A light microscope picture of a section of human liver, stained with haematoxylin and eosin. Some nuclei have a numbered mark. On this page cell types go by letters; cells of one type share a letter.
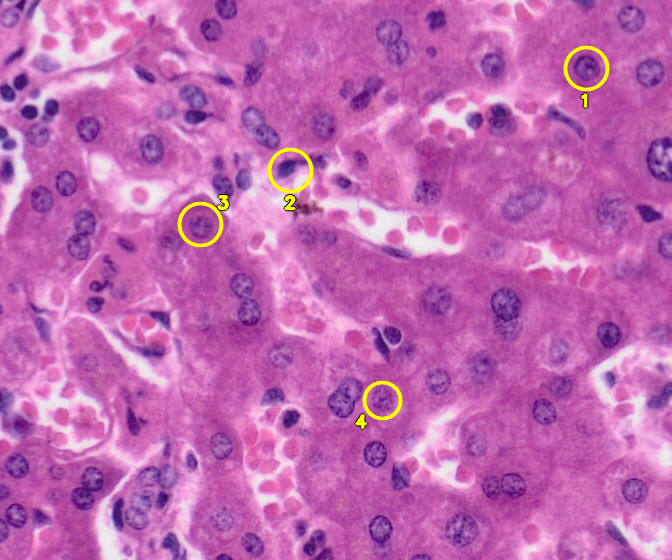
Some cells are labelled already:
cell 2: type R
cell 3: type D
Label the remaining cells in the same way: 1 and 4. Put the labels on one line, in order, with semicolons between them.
type D; type D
